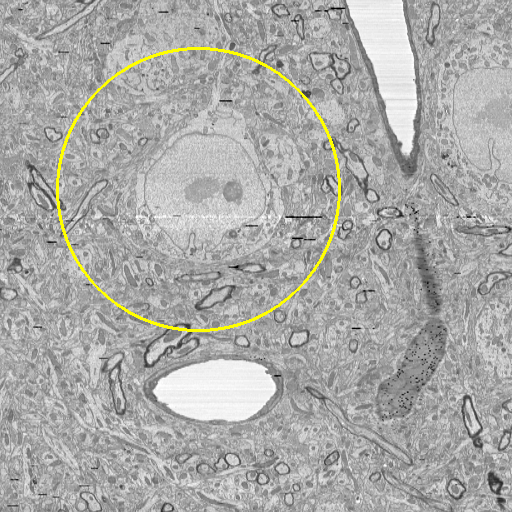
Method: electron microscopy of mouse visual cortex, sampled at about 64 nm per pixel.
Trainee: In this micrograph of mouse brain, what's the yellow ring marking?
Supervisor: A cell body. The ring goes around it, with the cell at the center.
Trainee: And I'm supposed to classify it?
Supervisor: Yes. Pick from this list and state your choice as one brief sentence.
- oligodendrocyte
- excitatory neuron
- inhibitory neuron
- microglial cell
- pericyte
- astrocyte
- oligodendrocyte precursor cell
The cell at the ring's center is an inhibitory neuron.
